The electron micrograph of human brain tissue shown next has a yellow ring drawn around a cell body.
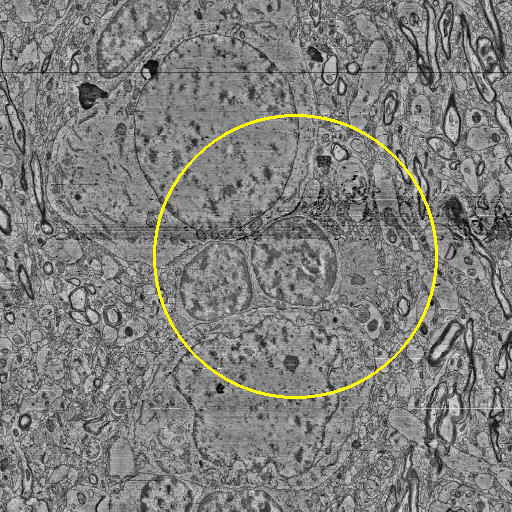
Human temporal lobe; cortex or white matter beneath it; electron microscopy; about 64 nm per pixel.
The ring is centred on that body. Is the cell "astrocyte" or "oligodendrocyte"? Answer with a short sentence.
The cell in question is an oligodendrocyte.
